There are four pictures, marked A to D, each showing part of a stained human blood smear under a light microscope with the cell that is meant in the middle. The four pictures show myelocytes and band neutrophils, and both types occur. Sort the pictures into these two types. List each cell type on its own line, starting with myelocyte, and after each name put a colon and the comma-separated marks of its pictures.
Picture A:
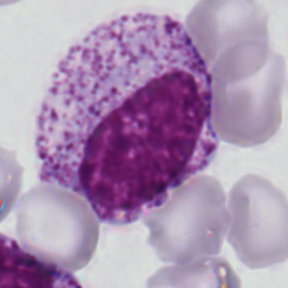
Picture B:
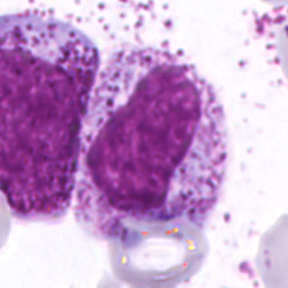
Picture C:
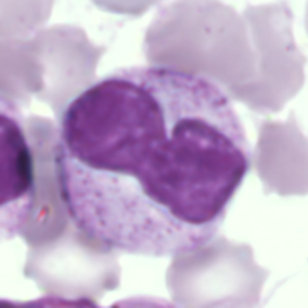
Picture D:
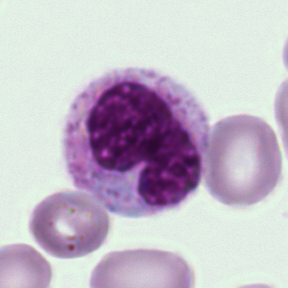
myelocyte: A
band neutrophil: B, C, D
